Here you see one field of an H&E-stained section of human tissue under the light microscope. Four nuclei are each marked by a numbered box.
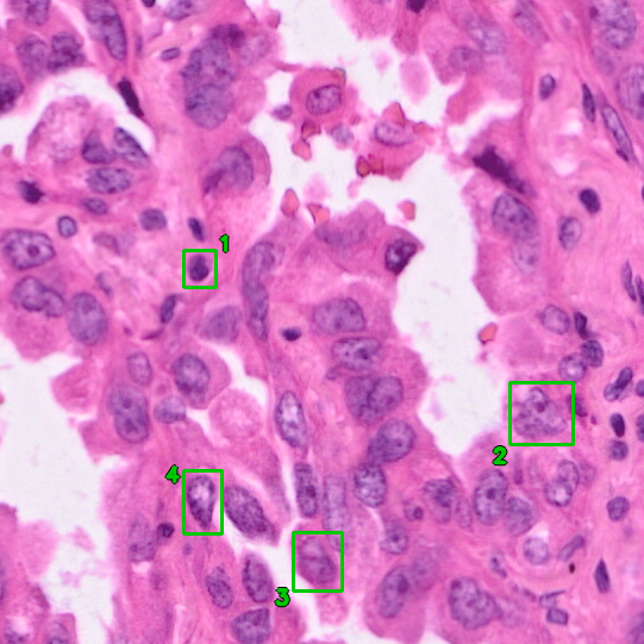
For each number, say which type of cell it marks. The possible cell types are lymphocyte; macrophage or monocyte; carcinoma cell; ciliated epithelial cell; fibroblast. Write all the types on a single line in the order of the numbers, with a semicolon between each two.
lymphocyte; carcinoma cell; carcinoma cell; carcinoma cell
